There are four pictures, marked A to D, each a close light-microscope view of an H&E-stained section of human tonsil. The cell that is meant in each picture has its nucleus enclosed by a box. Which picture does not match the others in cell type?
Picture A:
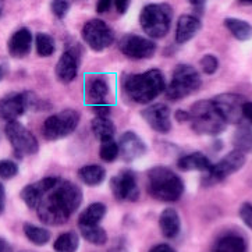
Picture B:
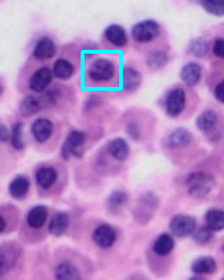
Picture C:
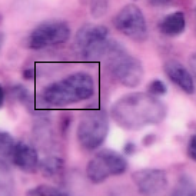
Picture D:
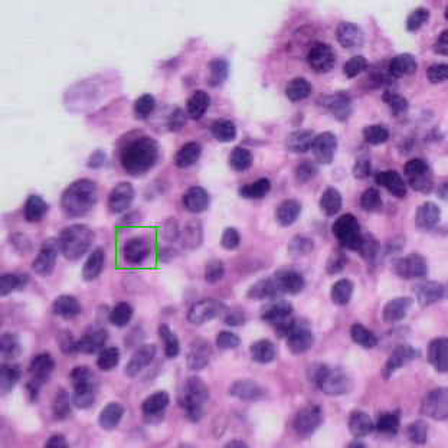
B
